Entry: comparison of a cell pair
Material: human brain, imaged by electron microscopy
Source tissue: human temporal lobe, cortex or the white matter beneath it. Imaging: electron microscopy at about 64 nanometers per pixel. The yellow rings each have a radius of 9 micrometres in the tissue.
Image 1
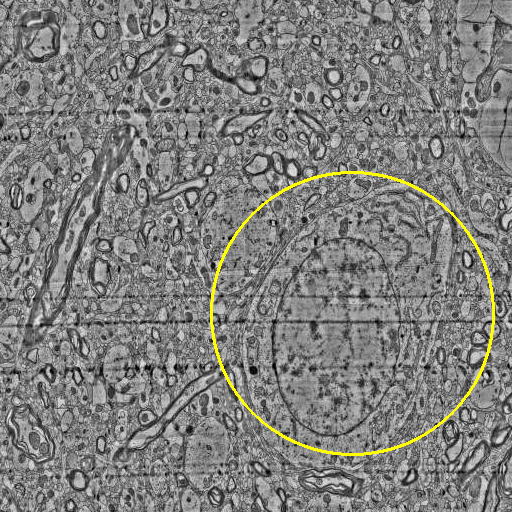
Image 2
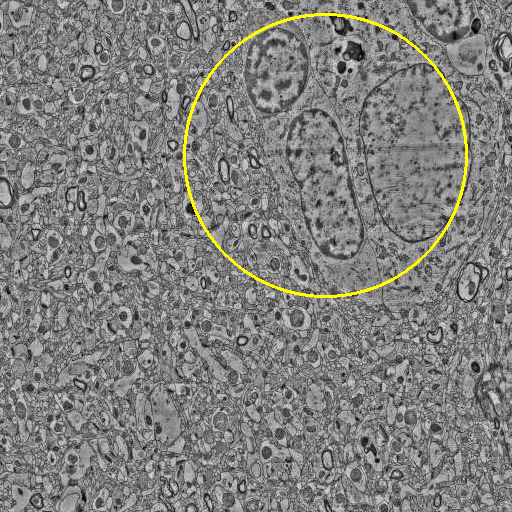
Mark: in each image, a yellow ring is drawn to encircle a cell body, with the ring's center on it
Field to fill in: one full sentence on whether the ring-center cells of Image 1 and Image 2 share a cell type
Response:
No, Image 1 and Image 2 show ring-center cells of two separate types.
